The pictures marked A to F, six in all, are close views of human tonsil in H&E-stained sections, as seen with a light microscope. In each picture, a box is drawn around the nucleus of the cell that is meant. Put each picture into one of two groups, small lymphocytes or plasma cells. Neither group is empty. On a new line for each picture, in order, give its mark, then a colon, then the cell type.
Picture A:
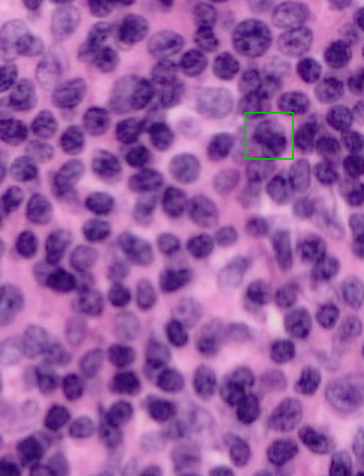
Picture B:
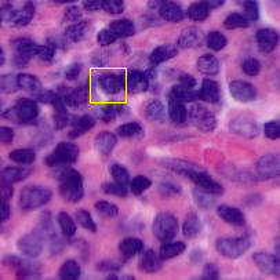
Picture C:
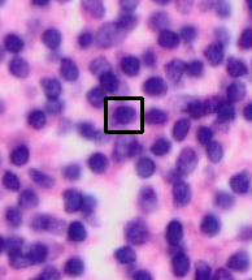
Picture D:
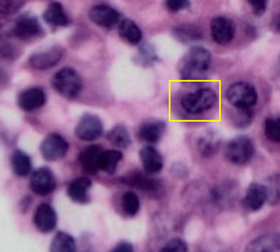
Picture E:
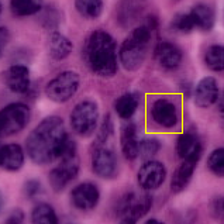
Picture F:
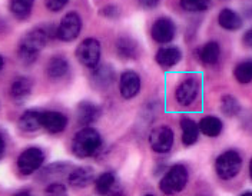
A: small lymphocyte
B: small lymphocyte
C: small lymphocyte
D: plasma cell
E: plasma cell
F: plasma cell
